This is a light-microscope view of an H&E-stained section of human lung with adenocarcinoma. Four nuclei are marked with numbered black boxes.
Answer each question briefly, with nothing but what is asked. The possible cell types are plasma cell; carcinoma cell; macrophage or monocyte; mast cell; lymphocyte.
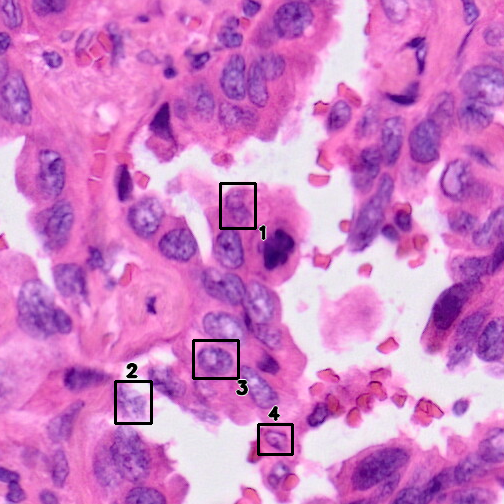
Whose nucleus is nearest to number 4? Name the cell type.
macrophage or monocyte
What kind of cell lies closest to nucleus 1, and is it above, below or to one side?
a carcinoma cell below nucleus 1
